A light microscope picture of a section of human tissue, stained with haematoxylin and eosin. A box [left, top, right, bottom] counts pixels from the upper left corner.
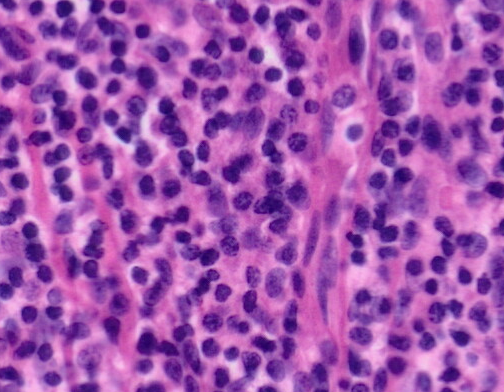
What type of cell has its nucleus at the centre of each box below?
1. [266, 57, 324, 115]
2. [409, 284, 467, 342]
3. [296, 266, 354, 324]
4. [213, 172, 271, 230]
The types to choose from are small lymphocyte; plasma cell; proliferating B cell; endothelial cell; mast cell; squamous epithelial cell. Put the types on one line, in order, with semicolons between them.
plasma cell; plasma cell; endothelial cell; plasma cell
